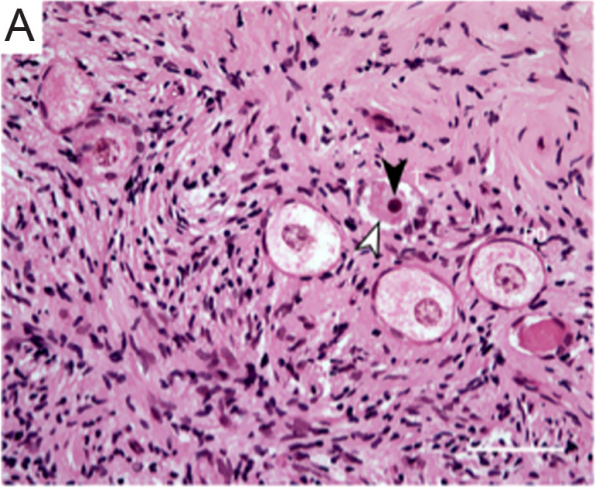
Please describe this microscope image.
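In dense ovarian stroma of wavy spindle-shaped cells lie several small follicles, each an oocyte with pale, vacuolated-looking cytoplasm and a round nucleus, ringed by a thin layer of flattened cells. One small follicle has a dense oocyte with a dark nucleus separated from its wall by a clear gap. These are small early follicles, one with shrunken ooplasm and a pyknotic nucleus.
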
